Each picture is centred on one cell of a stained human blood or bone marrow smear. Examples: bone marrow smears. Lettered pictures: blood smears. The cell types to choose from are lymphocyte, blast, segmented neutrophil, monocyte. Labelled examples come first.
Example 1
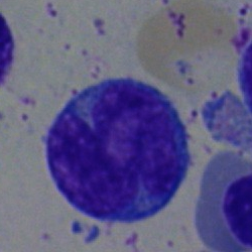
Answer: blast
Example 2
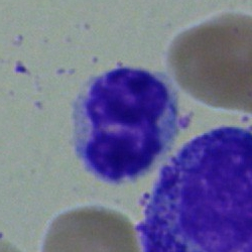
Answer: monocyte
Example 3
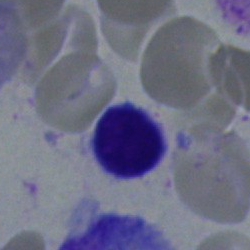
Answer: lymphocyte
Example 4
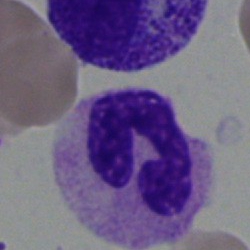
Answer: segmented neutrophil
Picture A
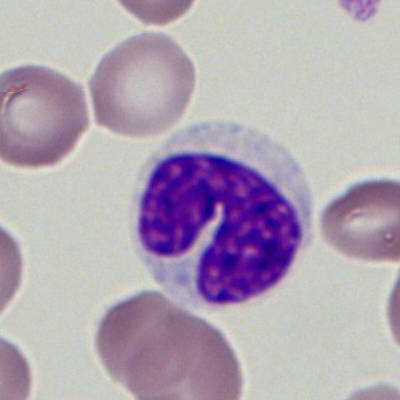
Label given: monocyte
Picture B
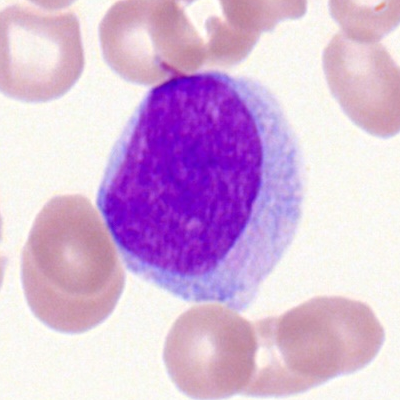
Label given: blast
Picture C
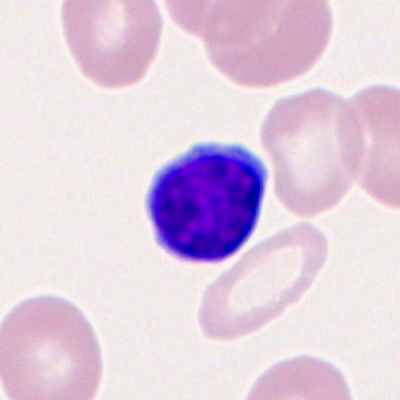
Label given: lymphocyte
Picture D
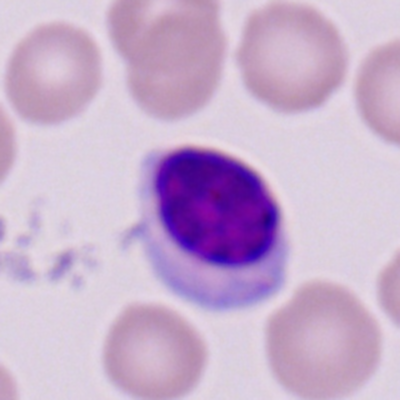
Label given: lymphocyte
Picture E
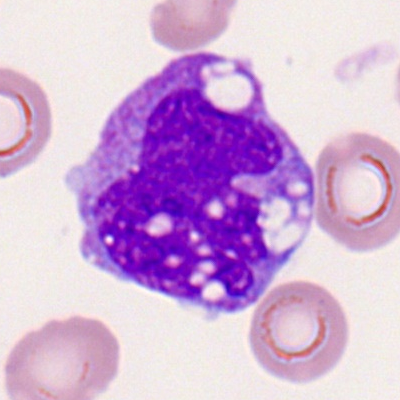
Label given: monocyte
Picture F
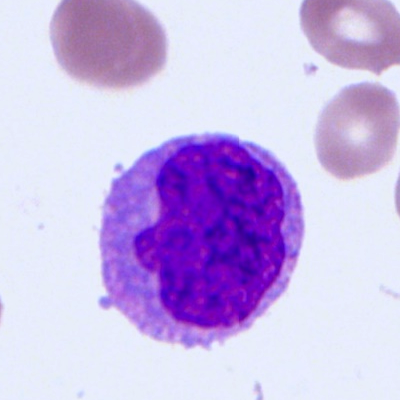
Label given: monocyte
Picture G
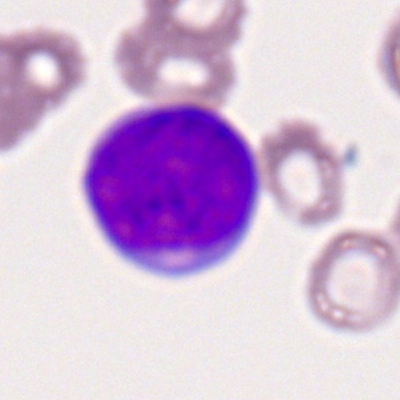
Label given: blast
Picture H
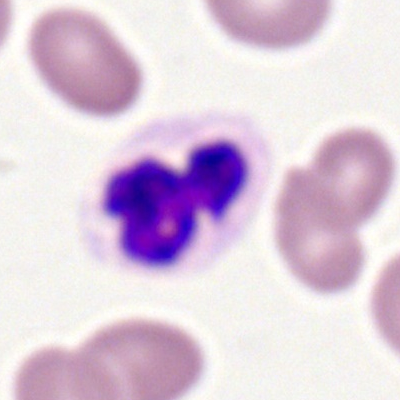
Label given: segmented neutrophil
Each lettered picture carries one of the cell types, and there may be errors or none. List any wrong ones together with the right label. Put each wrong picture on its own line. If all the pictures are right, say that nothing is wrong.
No label is wrong.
